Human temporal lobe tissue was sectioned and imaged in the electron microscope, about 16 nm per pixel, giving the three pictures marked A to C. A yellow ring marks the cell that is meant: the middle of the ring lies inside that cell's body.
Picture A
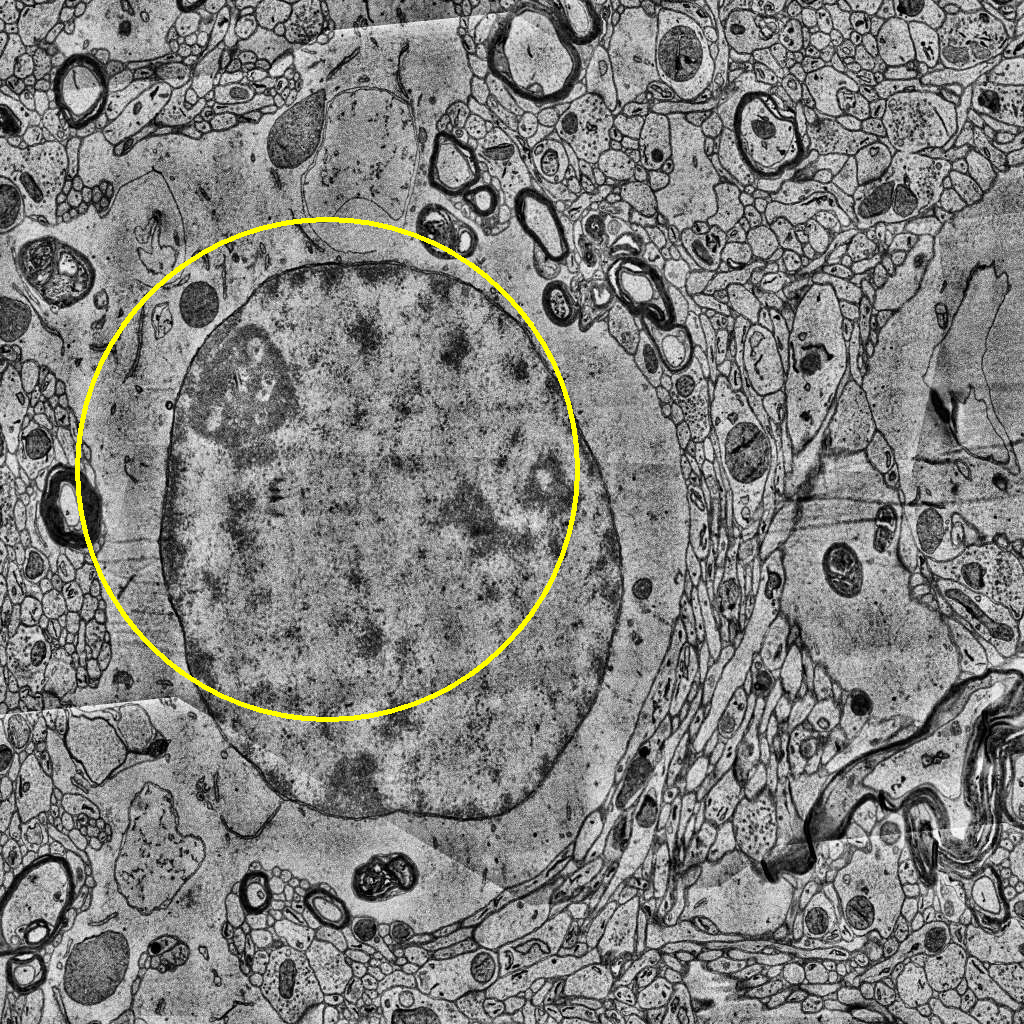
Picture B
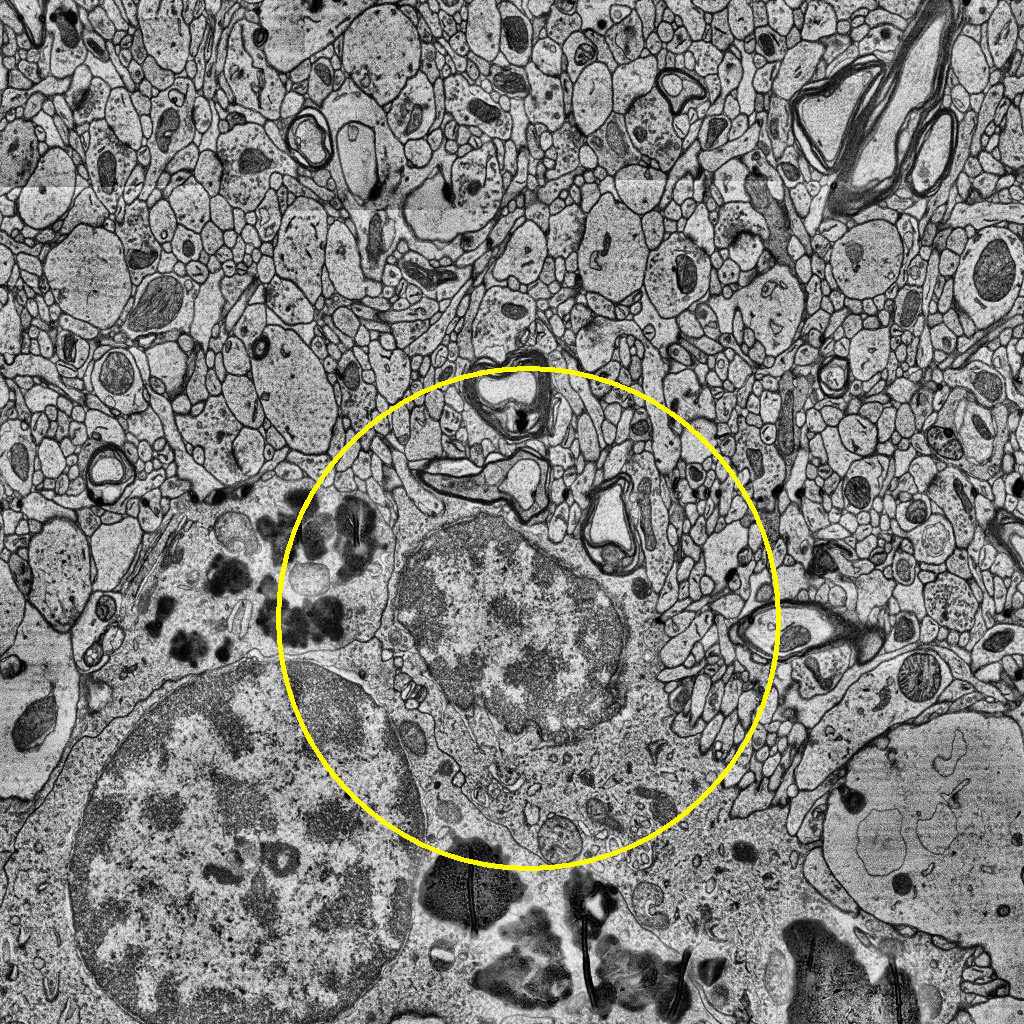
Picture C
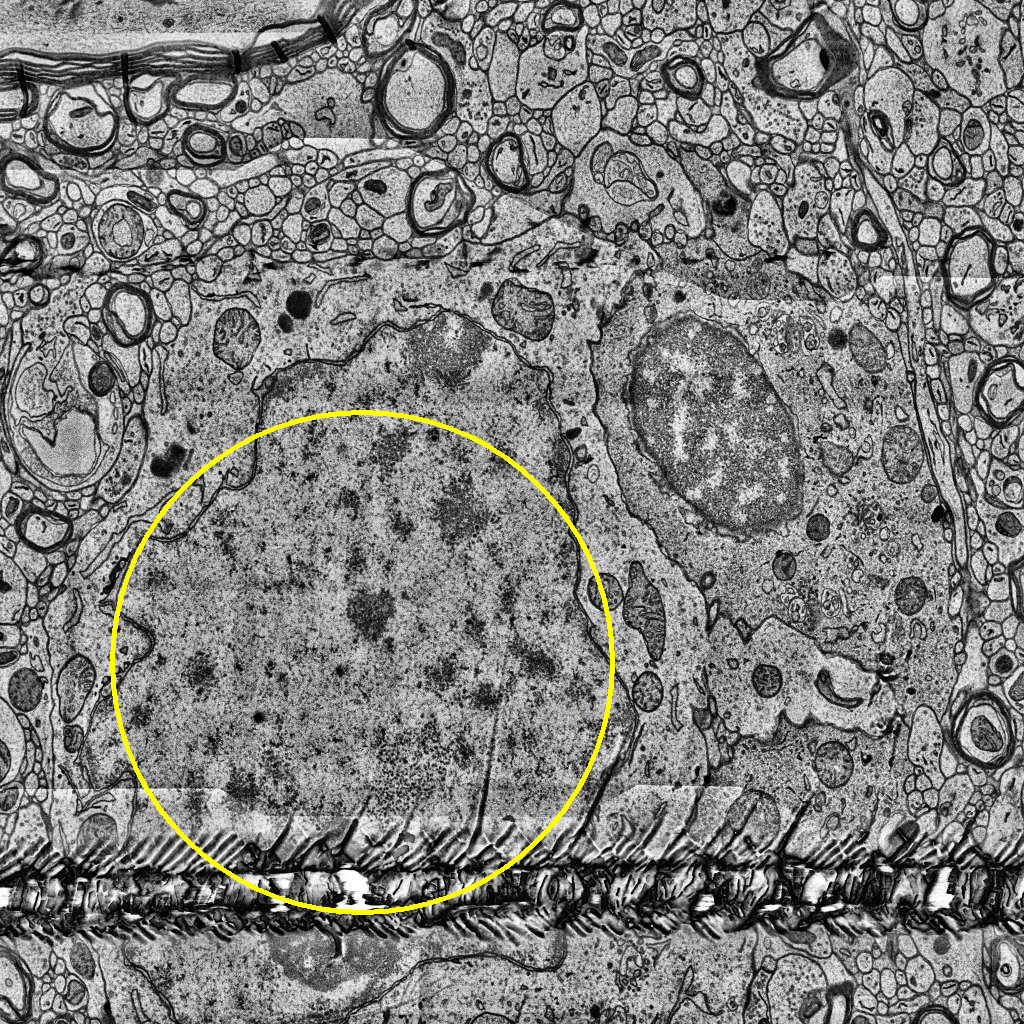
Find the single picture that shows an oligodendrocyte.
Picture B shows the oligodendrocyte.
